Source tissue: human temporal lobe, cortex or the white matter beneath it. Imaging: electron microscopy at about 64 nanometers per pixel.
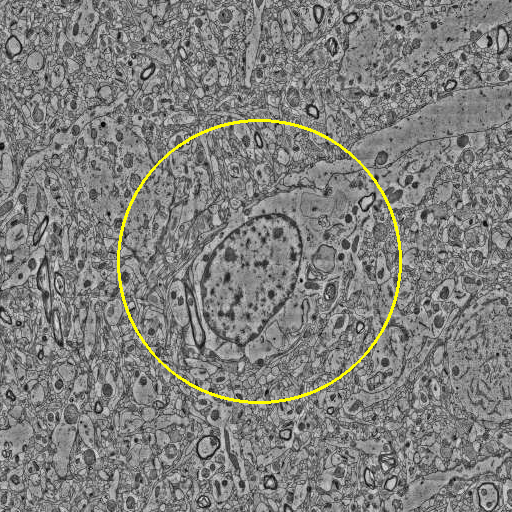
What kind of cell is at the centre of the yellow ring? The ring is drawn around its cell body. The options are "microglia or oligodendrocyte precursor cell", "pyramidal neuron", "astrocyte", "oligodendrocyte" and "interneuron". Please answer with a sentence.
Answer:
The yellow ring marks the cell body of an astrocyte.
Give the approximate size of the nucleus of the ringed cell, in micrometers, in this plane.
The nucleus is approximately 9 micrometres long but only about 6 wide, clearly longer than it is wide in this plane.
